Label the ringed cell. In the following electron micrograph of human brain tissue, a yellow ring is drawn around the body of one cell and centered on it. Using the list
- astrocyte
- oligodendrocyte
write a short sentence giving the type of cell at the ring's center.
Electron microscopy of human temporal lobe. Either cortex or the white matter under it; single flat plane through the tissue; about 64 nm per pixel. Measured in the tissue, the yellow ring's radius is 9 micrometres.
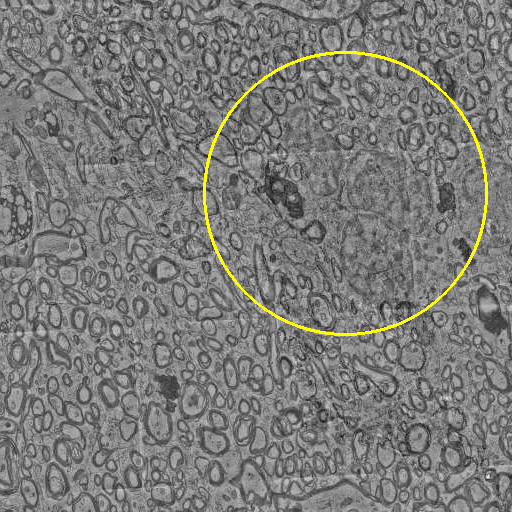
The cell body at the ring's center is that of an oligodendrocyte.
